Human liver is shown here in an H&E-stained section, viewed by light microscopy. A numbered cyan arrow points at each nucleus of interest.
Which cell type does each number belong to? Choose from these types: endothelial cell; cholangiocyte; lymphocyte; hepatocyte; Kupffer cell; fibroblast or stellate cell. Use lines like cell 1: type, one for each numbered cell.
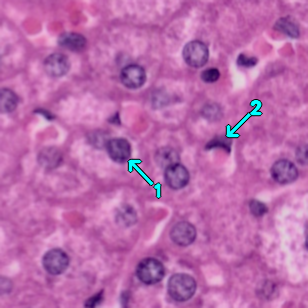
cell 1: hepatocyte
cell 2: endothelial cell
